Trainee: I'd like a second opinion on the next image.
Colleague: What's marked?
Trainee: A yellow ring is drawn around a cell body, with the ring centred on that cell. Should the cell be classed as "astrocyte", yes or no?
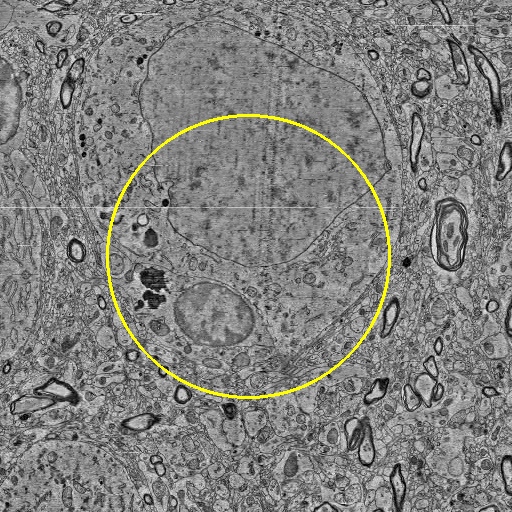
No, it should be classed as another kind.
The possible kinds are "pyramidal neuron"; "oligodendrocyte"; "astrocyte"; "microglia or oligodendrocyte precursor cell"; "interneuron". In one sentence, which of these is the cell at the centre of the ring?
The answer is that the ringed cell is a pyramidal neuron.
